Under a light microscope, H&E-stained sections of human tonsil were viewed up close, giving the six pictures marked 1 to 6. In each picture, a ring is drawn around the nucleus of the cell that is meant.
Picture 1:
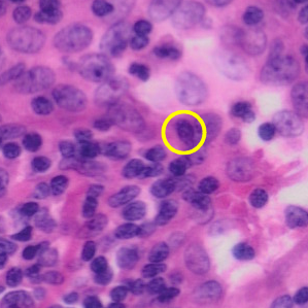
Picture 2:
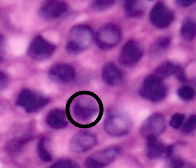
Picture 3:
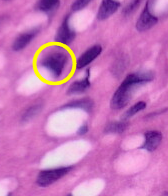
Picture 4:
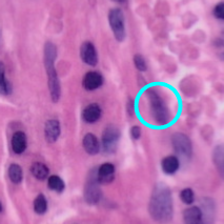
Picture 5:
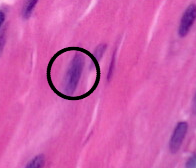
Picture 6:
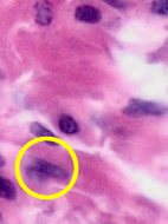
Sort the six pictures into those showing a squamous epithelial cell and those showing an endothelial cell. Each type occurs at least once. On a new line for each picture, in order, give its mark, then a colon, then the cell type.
1: endothelial cell
2: squamous epithelial cell
3: squamous epithelial cell
4: endothelial cell
5: endothelial cell
6: endothelial cell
